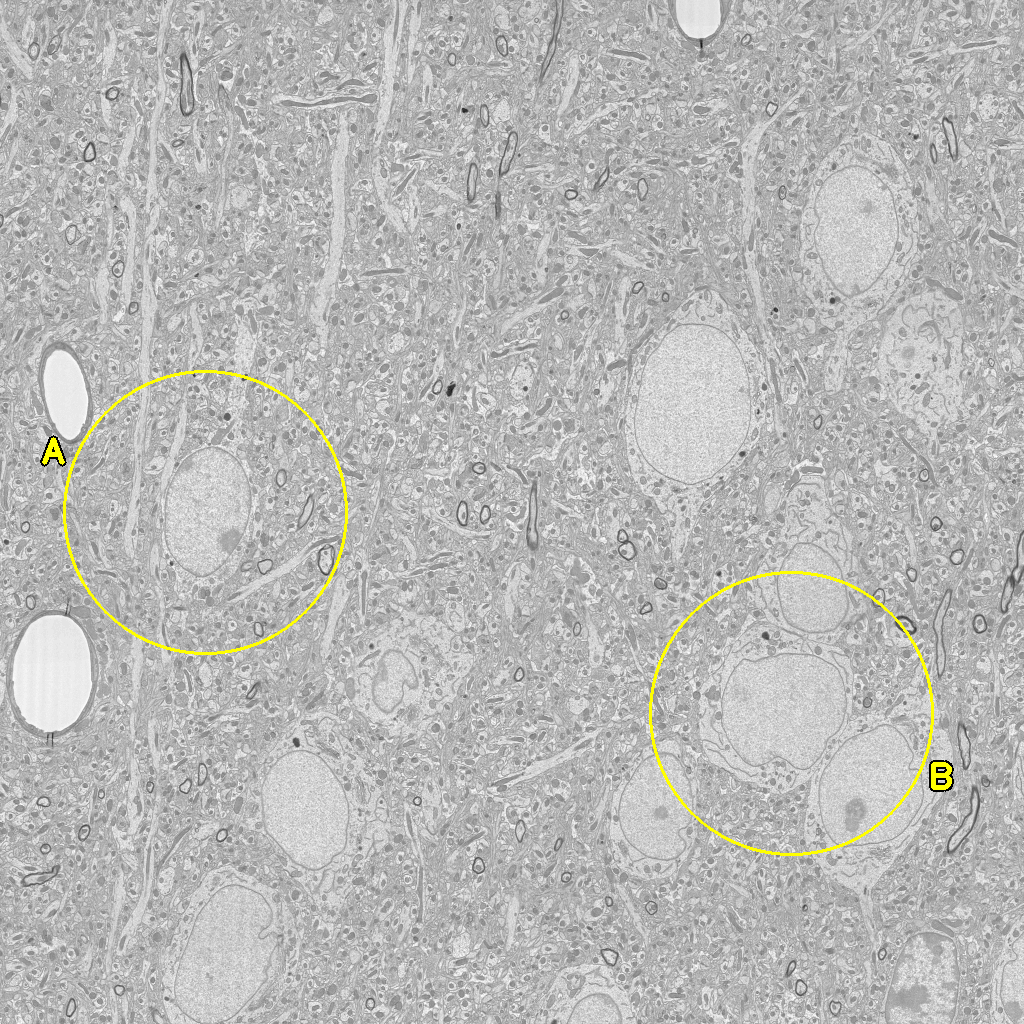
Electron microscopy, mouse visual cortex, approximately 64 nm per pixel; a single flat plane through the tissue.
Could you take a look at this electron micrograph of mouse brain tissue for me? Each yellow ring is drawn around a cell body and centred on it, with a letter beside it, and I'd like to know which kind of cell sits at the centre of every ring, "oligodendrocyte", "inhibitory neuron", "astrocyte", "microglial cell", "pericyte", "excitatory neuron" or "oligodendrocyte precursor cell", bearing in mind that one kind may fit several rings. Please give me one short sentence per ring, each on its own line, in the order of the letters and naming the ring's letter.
Ring A is centred on an astrocyte.
Ring B is centred on an excitatory neuron.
